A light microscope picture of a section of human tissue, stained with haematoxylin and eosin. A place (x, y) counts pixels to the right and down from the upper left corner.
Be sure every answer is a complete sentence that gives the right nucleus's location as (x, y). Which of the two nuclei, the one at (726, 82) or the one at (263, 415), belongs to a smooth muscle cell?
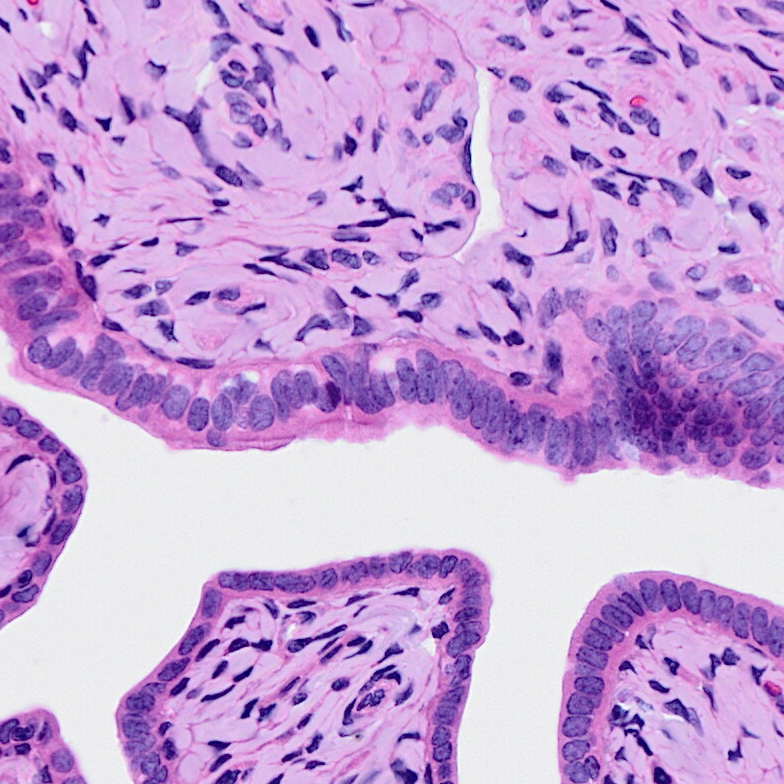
Of the pair, the nucleus positioned at (726, 82) is that of a smooth muscle cell.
